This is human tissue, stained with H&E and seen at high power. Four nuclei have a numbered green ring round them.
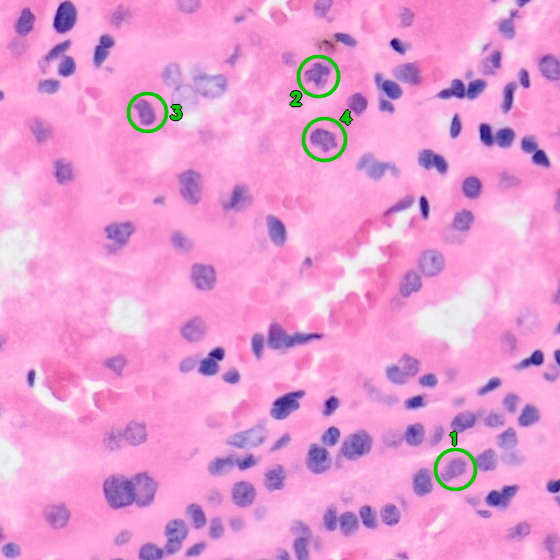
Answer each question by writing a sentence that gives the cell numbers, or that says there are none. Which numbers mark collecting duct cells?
It is only cell 1 that is a collecting duct cell among the numbered cells.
